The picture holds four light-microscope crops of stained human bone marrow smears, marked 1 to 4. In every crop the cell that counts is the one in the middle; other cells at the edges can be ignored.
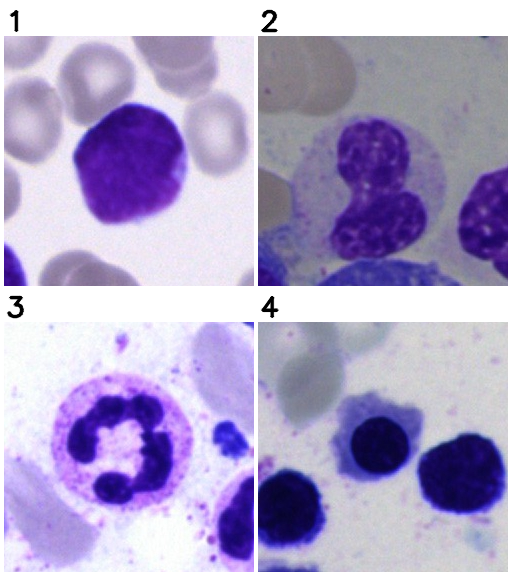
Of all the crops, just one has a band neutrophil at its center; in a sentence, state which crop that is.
Selected crop: 2, which is the one that shows a band neutrophil.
